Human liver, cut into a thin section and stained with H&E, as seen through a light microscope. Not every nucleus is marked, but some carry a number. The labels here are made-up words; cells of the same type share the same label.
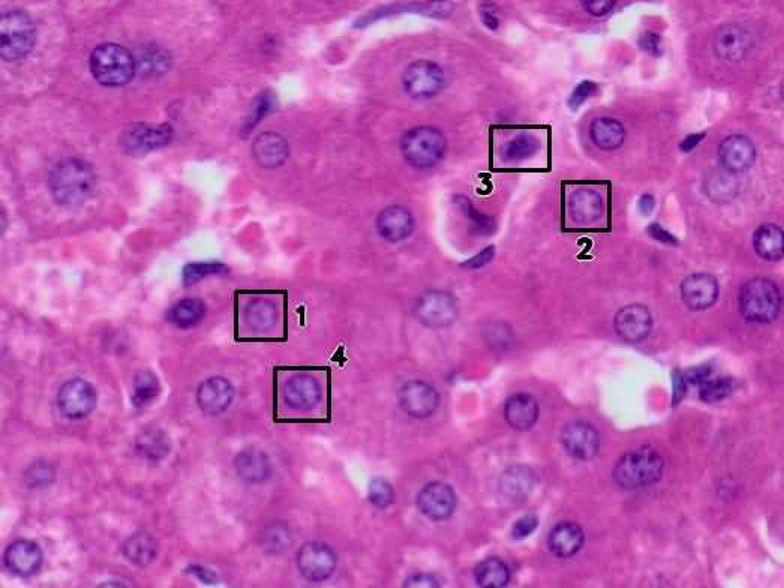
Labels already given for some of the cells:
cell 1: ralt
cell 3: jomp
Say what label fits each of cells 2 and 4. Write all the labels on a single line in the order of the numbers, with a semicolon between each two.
ralt; ralt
